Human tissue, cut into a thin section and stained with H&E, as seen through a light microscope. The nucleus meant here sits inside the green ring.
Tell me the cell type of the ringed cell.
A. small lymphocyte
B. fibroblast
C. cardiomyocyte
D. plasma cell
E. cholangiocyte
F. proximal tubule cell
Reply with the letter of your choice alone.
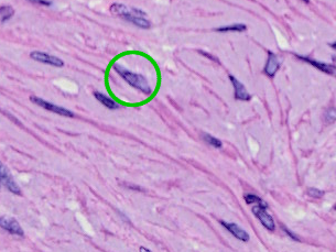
B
